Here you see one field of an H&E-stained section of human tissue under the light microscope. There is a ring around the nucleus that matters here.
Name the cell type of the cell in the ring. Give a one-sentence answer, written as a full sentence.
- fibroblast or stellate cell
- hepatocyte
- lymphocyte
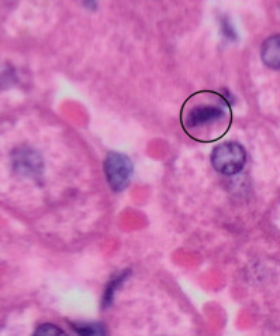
What the cell in the ring represents is a fibroblast or stellate cell.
